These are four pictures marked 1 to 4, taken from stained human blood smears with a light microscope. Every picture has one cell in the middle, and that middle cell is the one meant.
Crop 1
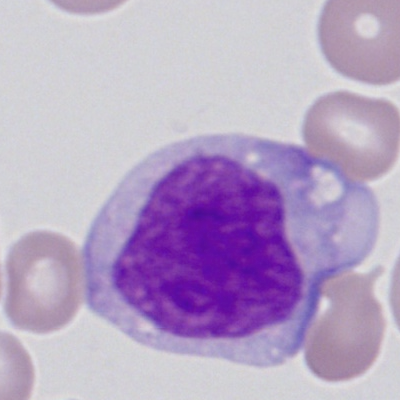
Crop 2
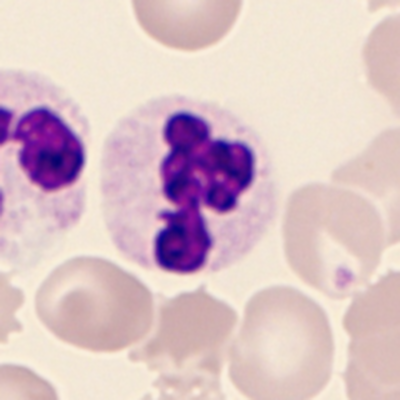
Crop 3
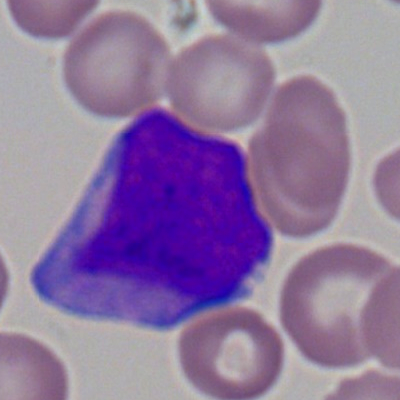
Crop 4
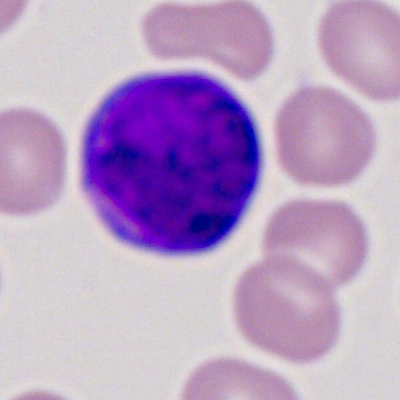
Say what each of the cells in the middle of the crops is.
1: monocyte
2: segmented neutrophil
3: myeloblast
4: myeloblast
